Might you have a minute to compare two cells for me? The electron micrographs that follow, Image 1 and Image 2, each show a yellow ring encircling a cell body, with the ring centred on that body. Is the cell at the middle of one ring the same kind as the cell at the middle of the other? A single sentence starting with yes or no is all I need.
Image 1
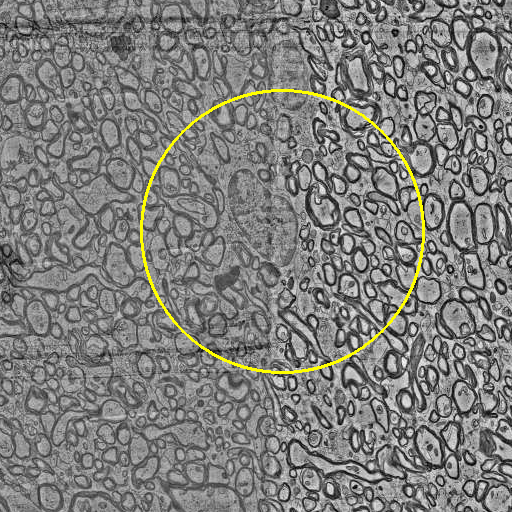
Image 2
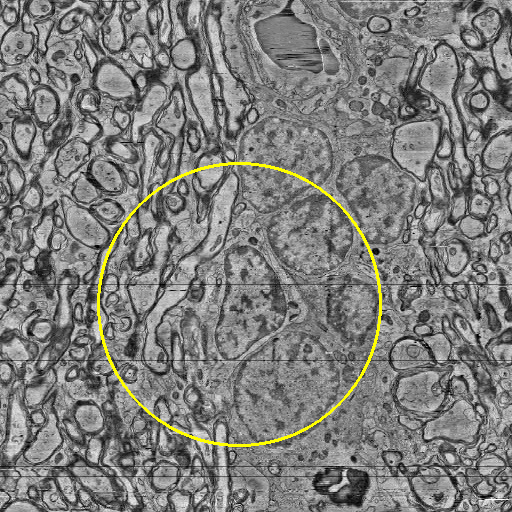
Yes, the cells in the middle of the two rings are of one shared kind.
